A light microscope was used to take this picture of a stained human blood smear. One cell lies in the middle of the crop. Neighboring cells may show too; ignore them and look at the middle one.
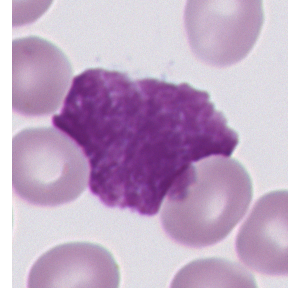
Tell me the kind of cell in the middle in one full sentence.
Answering briefly, the cell in the middle is a smudge cell.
